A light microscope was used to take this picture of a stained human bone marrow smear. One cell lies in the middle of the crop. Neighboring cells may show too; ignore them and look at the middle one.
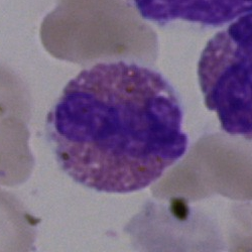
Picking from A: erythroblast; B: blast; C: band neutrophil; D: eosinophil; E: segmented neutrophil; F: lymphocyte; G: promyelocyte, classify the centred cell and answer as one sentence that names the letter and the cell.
Located in the middle of the crop is an eosinophil, and option D is therefore correct.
